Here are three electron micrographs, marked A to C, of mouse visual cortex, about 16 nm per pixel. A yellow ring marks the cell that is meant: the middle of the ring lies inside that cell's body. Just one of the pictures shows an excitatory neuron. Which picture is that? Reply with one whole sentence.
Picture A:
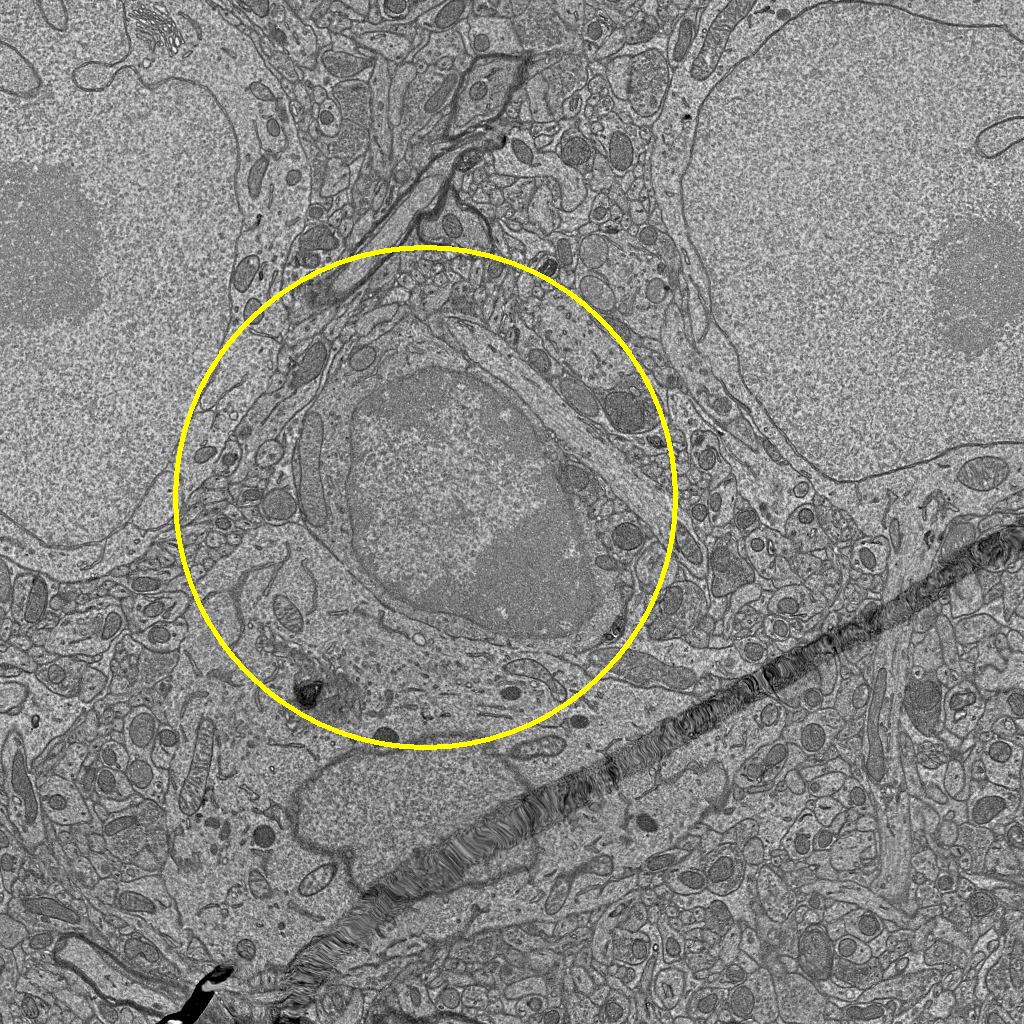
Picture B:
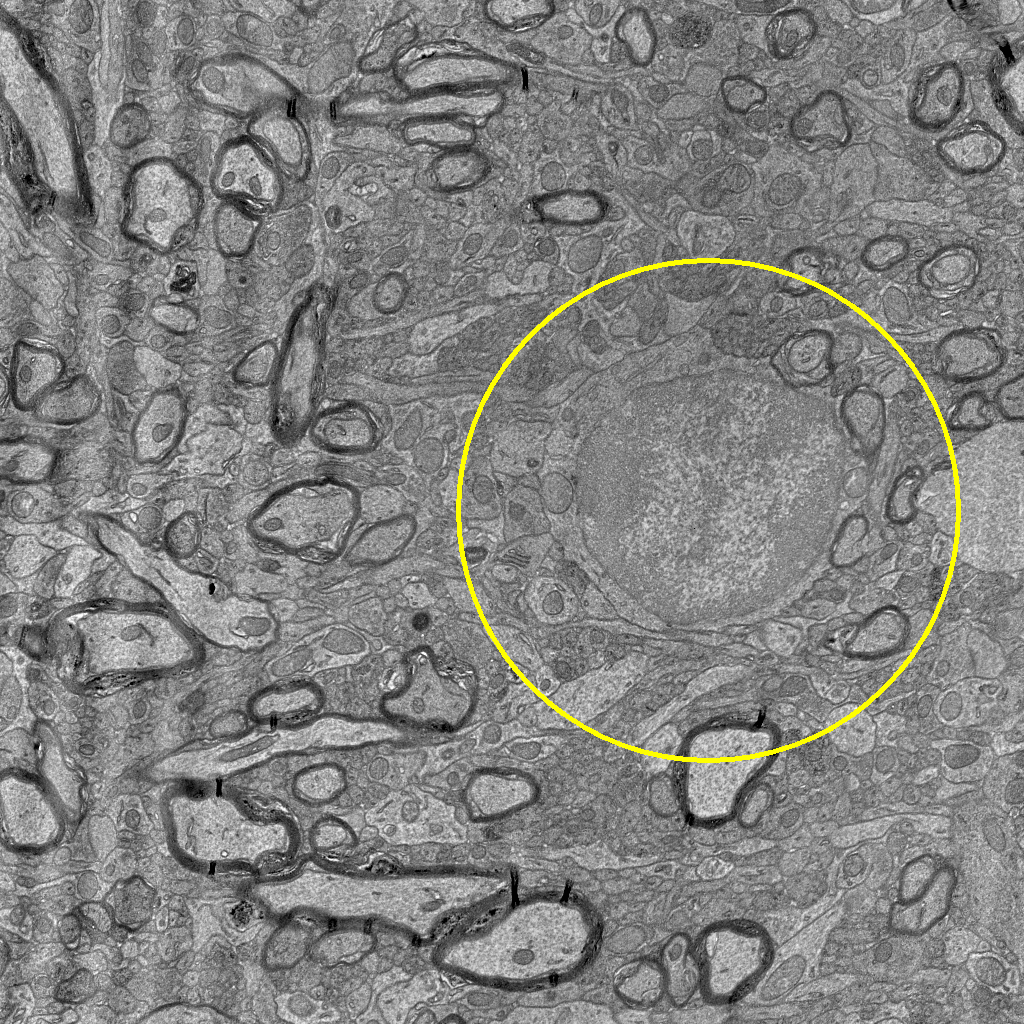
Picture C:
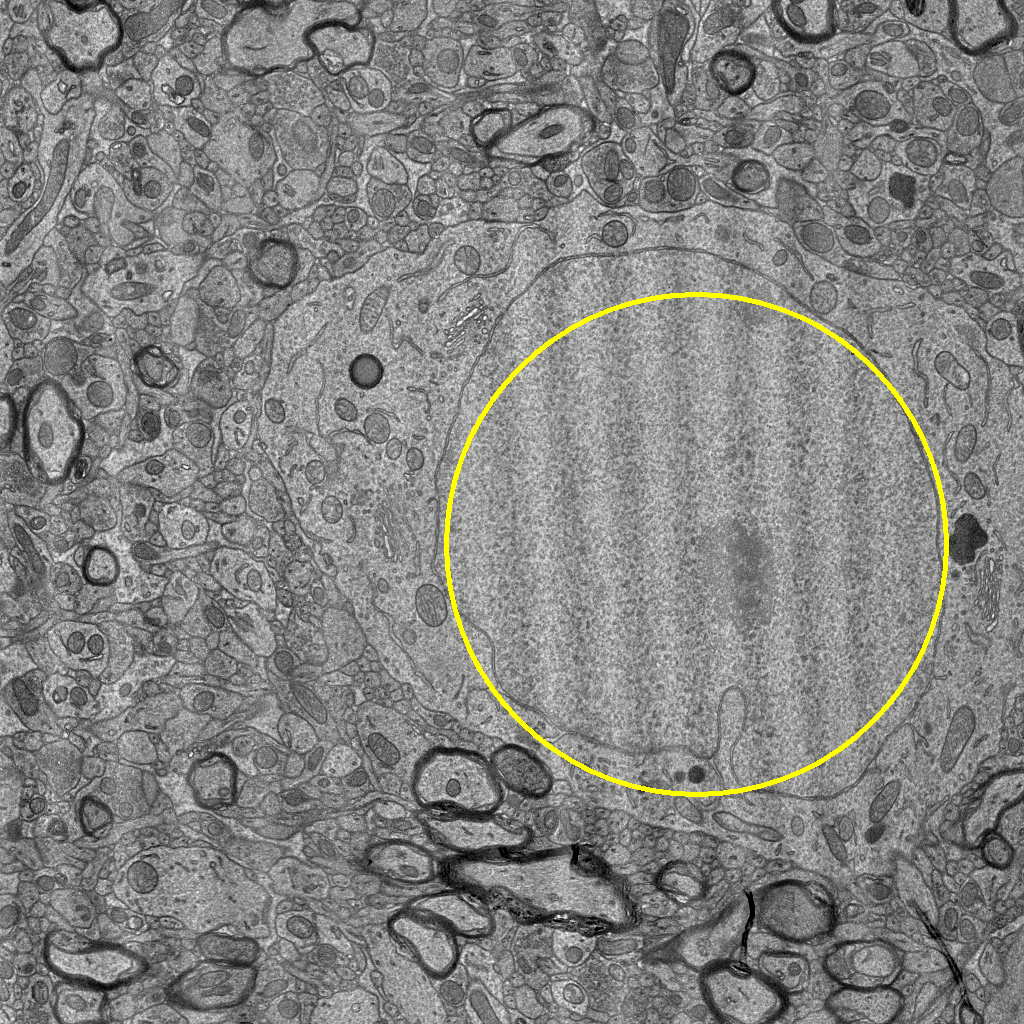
It is picture C that shows the excitatory neuron.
